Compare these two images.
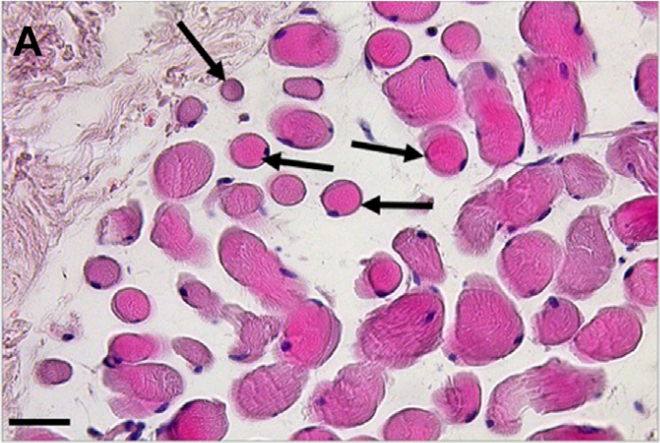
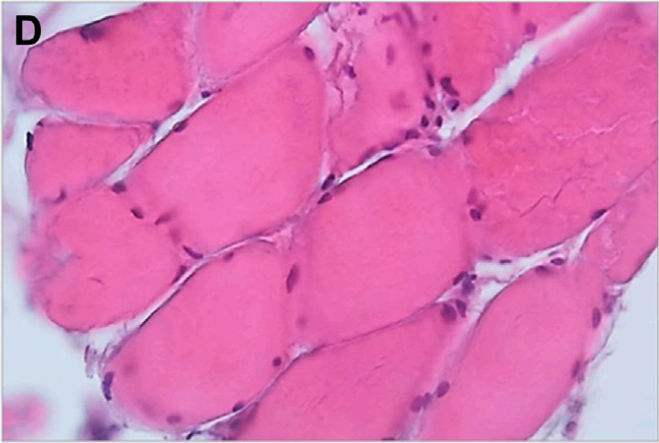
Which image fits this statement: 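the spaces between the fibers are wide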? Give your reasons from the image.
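The first image. Second image: fibers are tightly packed with only thin gaps between them. First image: fibers are separated by broad pale spaces.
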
